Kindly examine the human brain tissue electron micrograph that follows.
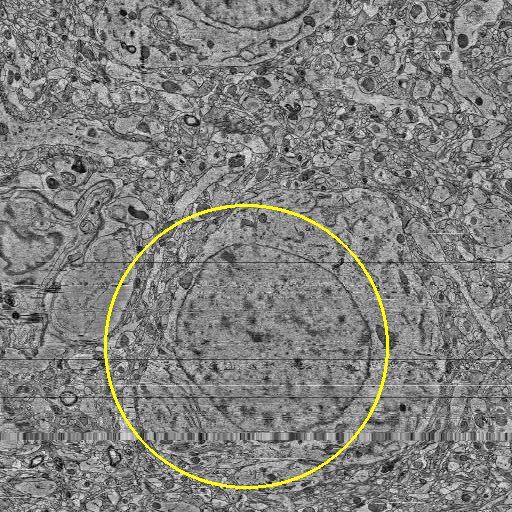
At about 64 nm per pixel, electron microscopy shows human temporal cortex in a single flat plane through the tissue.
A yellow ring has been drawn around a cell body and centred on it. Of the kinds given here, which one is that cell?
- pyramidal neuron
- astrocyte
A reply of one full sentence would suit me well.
The micrograph's ringed cell, the one at the ring's centre, is a pyramidal neuron.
